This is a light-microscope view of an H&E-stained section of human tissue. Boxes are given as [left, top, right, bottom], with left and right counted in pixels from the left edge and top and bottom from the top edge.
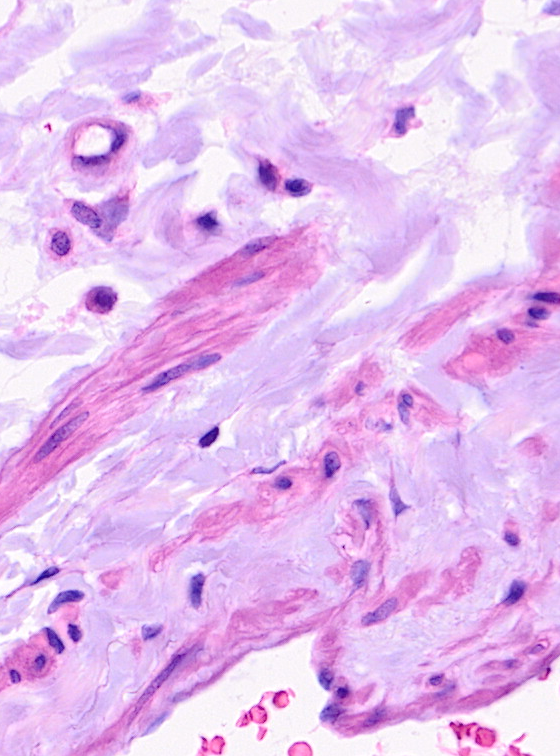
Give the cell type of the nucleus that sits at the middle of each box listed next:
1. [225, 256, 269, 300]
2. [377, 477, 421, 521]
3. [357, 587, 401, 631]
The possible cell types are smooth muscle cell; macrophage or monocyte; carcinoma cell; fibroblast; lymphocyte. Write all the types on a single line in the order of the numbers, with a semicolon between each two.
smooth muscle cell; fibroblast; smooth muscle cell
